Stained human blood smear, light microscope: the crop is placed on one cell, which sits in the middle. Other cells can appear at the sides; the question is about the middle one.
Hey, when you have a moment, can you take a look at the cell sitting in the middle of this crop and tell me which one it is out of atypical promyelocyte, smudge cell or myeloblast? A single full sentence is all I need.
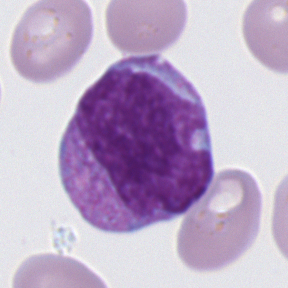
This particular crop is centered on an atypical promyelocyte.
